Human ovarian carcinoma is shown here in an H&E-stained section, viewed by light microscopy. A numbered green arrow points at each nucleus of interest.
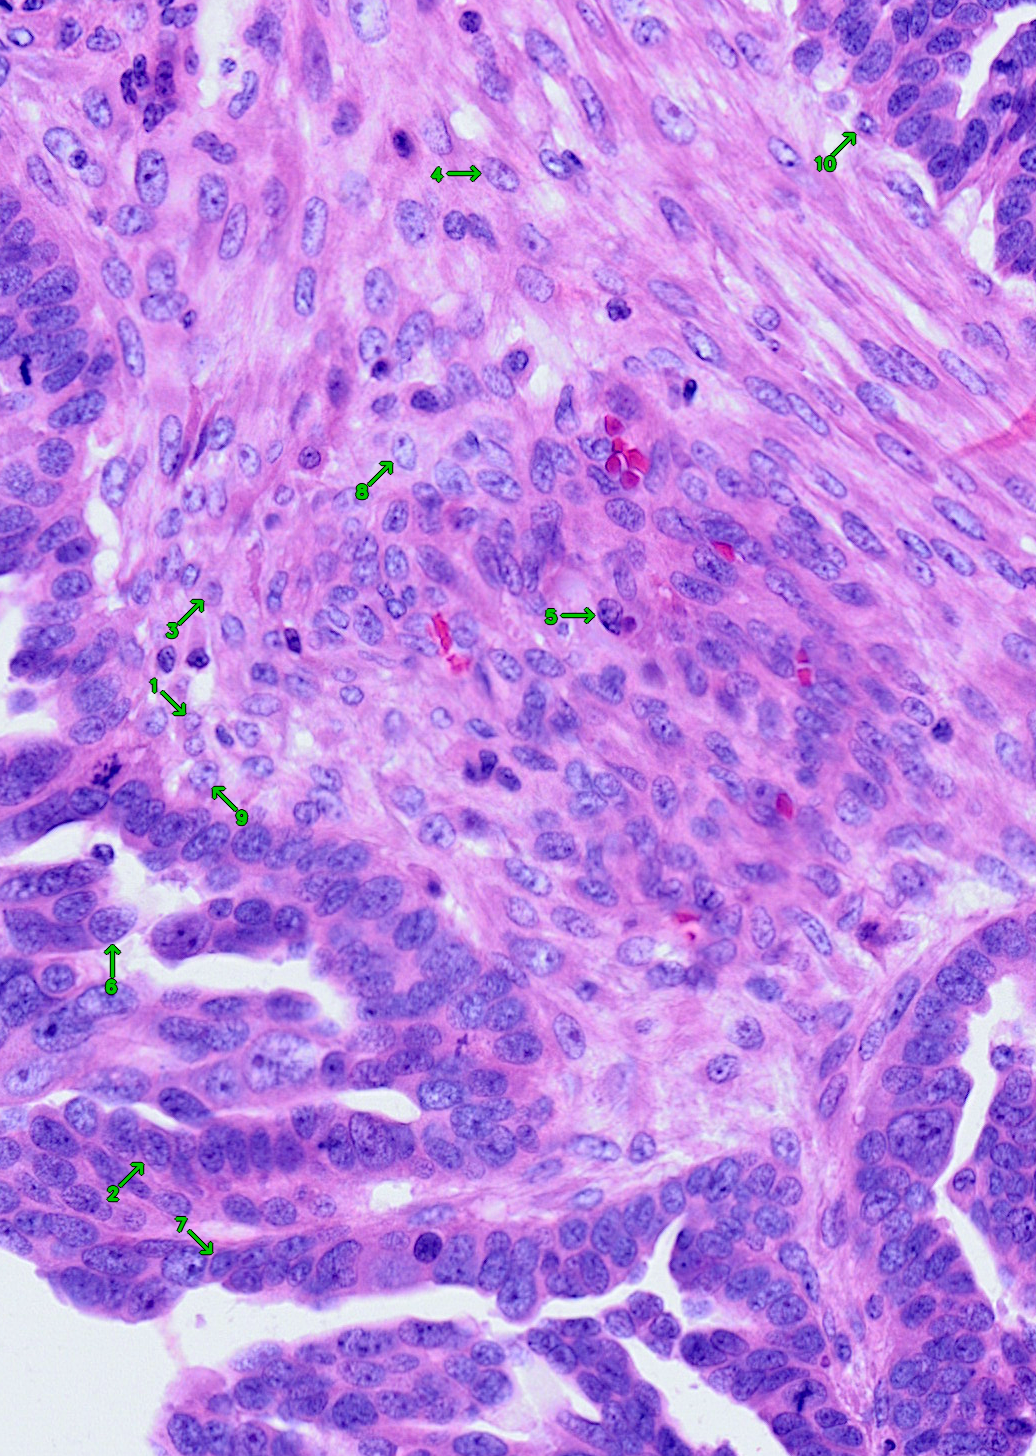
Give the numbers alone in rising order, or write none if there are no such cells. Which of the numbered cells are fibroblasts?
1, 3, 4, 8, 9, 10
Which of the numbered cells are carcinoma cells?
2, 6, 7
